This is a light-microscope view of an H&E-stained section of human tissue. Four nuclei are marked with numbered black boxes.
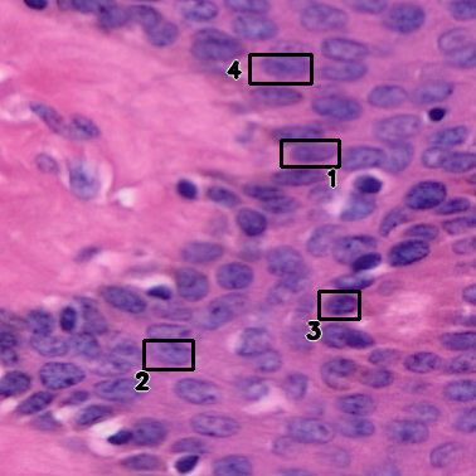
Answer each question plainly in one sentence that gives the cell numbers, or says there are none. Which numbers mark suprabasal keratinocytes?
Exactly one of the numbered cells is a suprabasal keratinocyte, namely cell 2.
